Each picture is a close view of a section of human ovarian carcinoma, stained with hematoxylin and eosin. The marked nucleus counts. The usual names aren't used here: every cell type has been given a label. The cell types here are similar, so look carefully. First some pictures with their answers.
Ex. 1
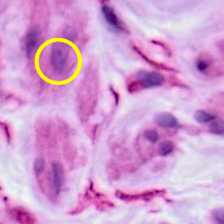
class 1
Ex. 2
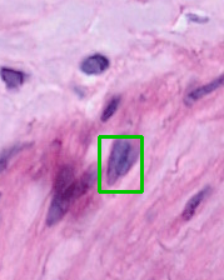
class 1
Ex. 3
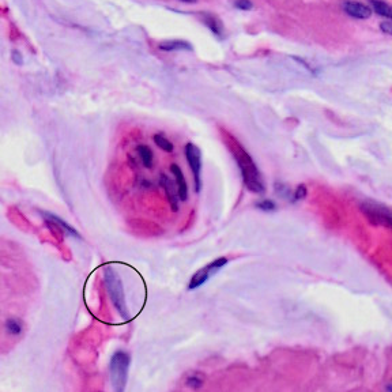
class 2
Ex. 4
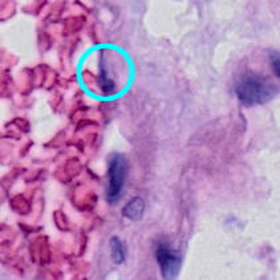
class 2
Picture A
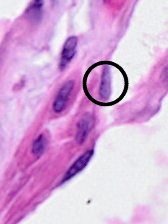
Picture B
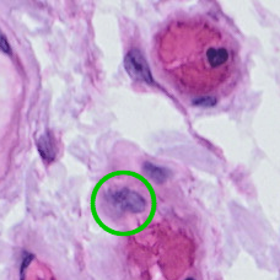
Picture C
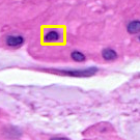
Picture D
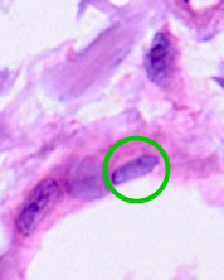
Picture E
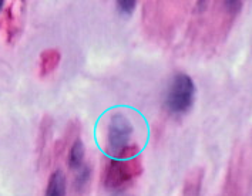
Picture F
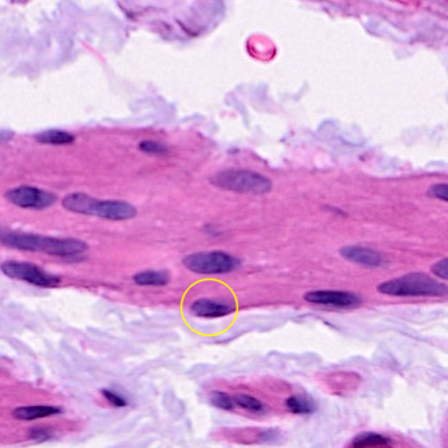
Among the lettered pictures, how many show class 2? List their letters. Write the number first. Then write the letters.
Count: 4 (A, B, D, E)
